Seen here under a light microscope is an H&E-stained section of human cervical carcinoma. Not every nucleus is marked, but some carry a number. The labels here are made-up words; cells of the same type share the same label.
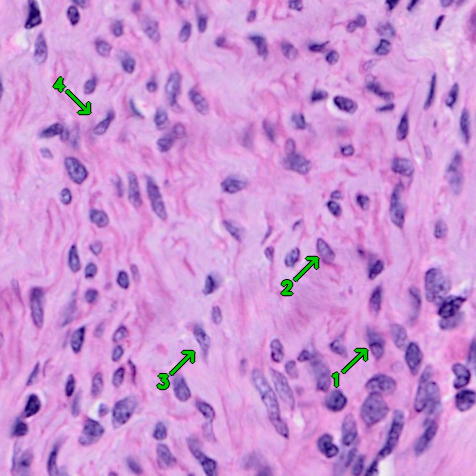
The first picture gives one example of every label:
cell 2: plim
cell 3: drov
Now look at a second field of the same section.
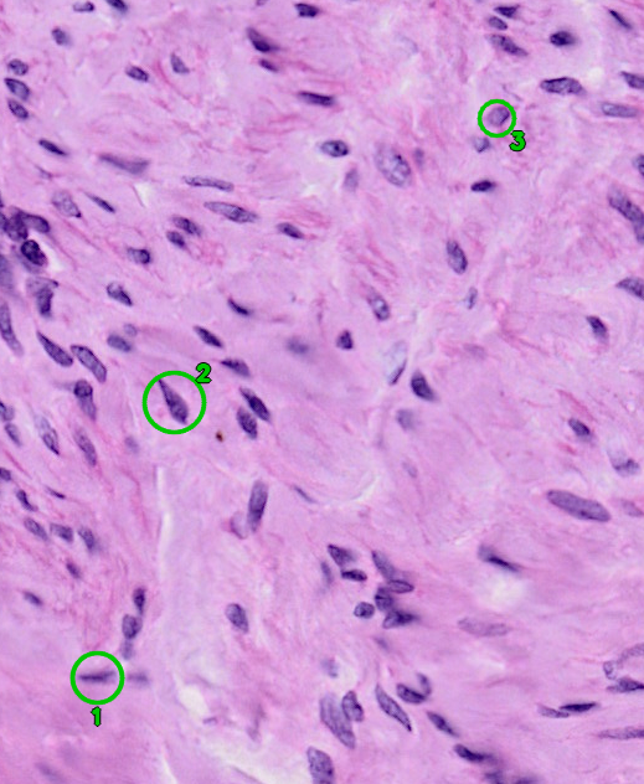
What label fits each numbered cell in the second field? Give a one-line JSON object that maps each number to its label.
{"1": "drov", "2": "drov", "3": "plim"}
